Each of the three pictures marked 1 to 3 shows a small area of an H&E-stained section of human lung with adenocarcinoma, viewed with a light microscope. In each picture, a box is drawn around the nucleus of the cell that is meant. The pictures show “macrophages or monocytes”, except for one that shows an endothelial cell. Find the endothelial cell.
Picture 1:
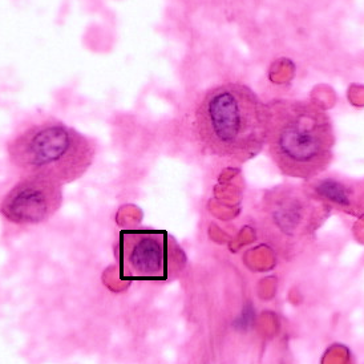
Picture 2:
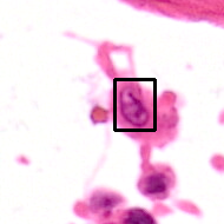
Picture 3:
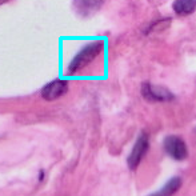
3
